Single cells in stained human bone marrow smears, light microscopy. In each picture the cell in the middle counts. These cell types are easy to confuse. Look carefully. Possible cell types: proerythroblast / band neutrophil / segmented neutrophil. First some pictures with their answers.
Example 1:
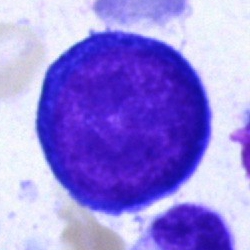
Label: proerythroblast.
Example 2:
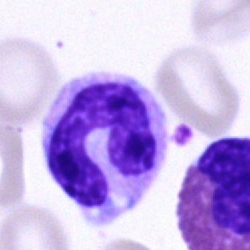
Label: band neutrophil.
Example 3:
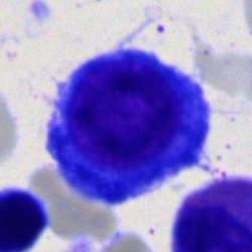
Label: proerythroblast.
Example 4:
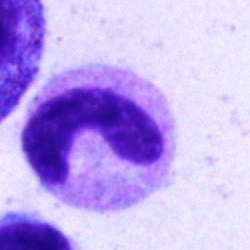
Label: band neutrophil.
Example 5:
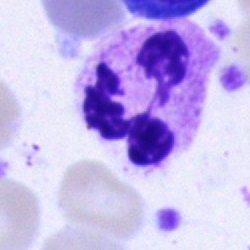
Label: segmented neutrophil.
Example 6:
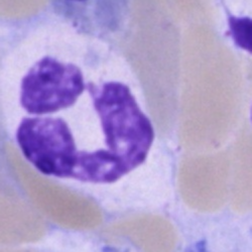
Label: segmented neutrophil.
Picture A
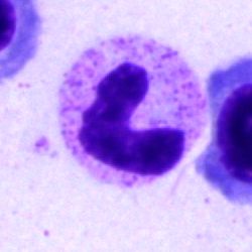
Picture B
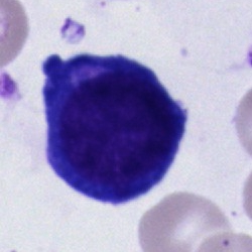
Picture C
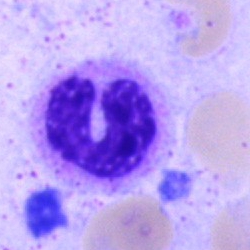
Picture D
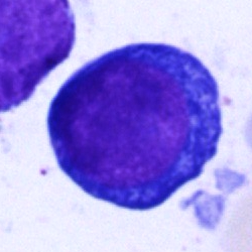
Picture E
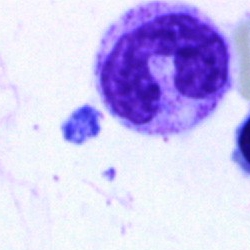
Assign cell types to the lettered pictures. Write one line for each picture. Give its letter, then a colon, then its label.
A: band neutrophil.
B: proerythroblast.
C: band neutrophil.
D: proerythroblast.
E: band neutrophil.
